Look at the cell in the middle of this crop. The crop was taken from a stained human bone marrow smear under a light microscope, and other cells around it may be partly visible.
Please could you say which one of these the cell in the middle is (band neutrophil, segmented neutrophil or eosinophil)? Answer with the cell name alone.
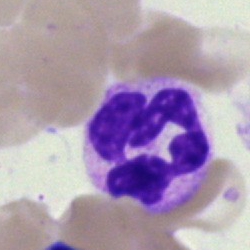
segmented neutrophil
